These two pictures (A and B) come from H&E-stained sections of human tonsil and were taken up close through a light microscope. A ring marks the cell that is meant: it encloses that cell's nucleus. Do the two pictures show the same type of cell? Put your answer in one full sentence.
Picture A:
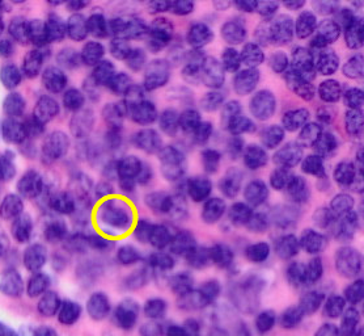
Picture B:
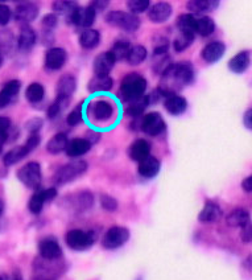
Yes, both cells are small lymphocytes.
